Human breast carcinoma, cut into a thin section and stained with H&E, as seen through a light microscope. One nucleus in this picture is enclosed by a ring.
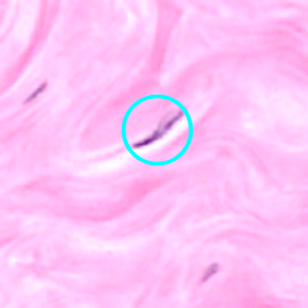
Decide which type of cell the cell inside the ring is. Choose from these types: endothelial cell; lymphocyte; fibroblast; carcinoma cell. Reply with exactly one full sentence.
Typologically, the cell inside the ring is a fibroblast in this section.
